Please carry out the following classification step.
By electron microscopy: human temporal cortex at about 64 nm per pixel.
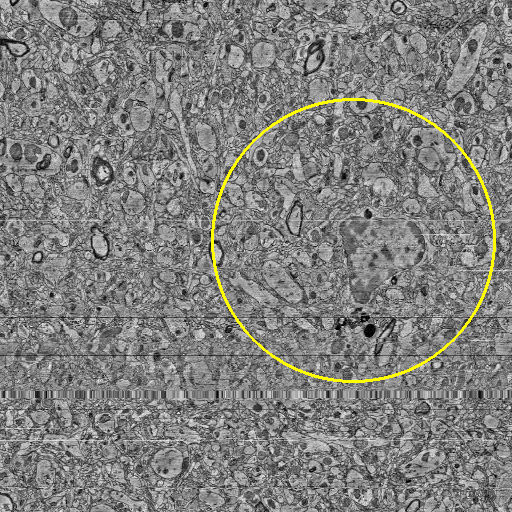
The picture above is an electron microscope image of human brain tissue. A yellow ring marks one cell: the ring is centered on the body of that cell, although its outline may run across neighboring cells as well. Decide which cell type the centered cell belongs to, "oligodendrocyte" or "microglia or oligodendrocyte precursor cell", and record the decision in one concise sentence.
The cell centered in the yellow ring is a microglial cell or oligodendrocyte precursor cell.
